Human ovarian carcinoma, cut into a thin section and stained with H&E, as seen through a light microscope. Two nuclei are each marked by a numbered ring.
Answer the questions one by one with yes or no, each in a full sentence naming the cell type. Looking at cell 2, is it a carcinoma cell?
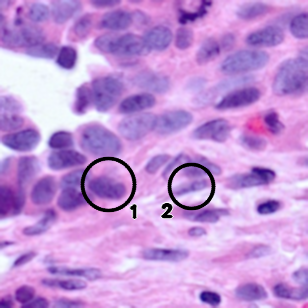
No, instead of a carcinoma cell, the cell with number 2 is a fibroblast.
